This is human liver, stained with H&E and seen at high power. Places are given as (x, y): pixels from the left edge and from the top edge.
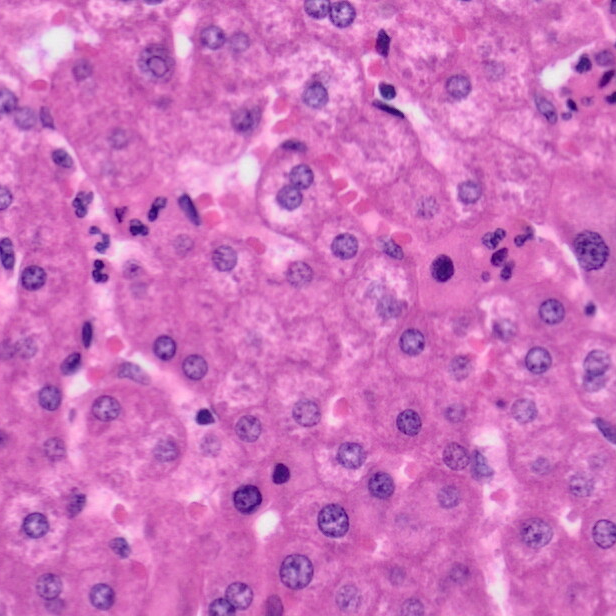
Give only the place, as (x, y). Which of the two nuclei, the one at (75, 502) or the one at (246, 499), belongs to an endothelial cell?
(75, 502)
